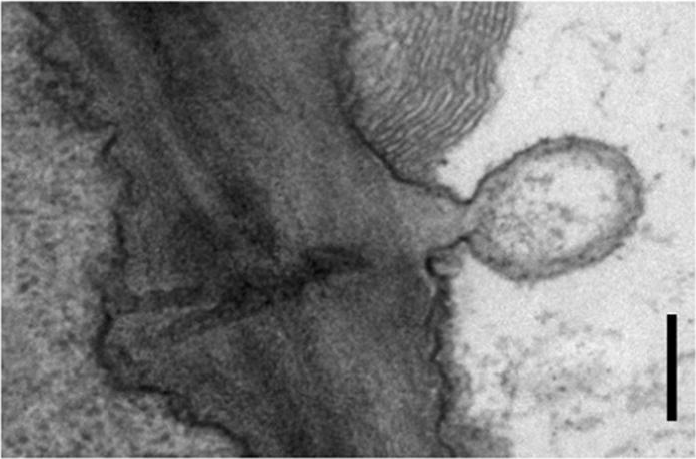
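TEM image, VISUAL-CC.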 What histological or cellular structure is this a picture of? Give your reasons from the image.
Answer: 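A dark, thick wall runs across the image between two cell interiors. A very thin channel crosses the wall. The channel splits into more than one strand within the wall. So: branched plasmodesmata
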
